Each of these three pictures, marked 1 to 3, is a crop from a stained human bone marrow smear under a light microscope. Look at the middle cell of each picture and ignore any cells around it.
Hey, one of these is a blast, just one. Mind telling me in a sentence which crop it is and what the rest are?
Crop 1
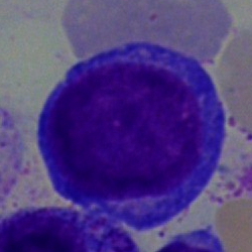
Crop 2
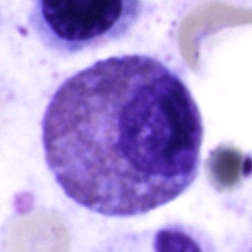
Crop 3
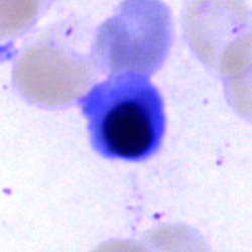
Going crop by crop, crop 1 is a blast, while crop 2 is an eosinophil and crop 3 is a normoblast.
